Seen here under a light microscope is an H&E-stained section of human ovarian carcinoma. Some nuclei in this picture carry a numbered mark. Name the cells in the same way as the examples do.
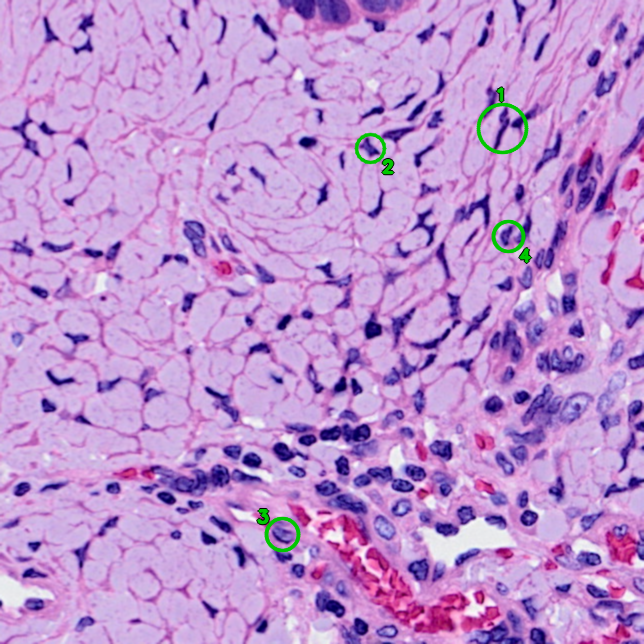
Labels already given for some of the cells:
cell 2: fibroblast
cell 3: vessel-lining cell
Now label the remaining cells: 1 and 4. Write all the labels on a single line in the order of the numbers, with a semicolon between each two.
fibroblast; fibroblast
